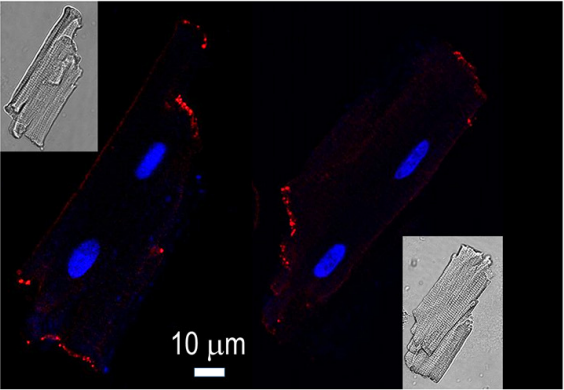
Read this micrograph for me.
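Two isolated ventricular myocytes are seen as large rod-shaped cells with blunt, stepped ends. Each cell holds two oval blue nuclei lying near the middle of the cell. Red puncta gather mainly at the ends of the cells and along parts of their edges, with only faint red in the rest of the cytoplasm. The grey insets show the same kind of cells with regular cross-striations.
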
